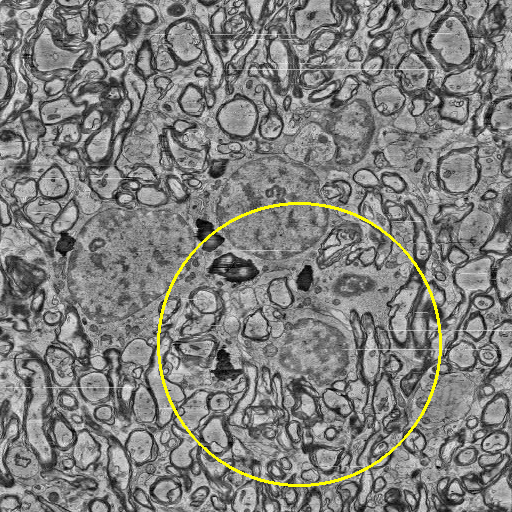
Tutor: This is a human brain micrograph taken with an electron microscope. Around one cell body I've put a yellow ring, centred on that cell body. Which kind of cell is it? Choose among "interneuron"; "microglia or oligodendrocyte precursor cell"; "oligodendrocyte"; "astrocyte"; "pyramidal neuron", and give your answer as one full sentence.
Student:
Going by your list, the cell centred in the yellow ring is an oligodendrocyte.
